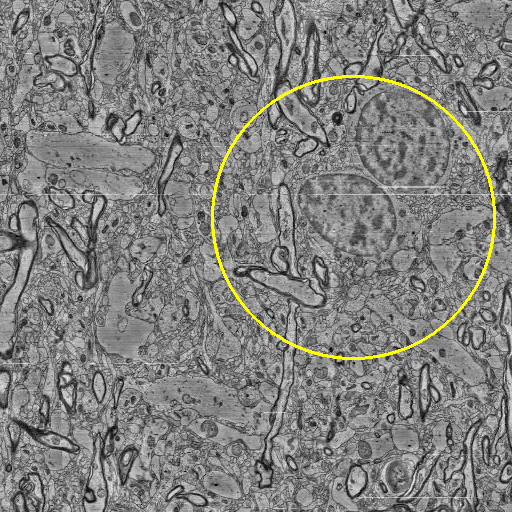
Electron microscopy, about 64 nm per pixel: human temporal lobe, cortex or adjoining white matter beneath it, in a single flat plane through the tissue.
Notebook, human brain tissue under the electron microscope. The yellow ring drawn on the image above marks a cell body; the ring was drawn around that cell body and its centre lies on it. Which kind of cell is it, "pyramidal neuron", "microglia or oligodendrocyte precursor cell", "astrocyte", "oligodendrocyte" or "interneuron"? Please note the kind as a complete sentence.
The marked cell body is that of an oligodendrocyte.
